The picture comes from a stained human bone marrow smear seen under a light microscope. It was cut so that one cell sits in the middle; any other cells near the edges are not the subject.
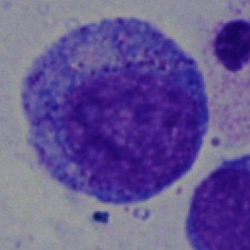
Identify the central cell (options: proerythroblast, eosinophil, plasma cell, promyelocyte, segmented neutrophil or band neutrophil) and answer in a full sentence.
In the centre of this crop there is a promyelocyte.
